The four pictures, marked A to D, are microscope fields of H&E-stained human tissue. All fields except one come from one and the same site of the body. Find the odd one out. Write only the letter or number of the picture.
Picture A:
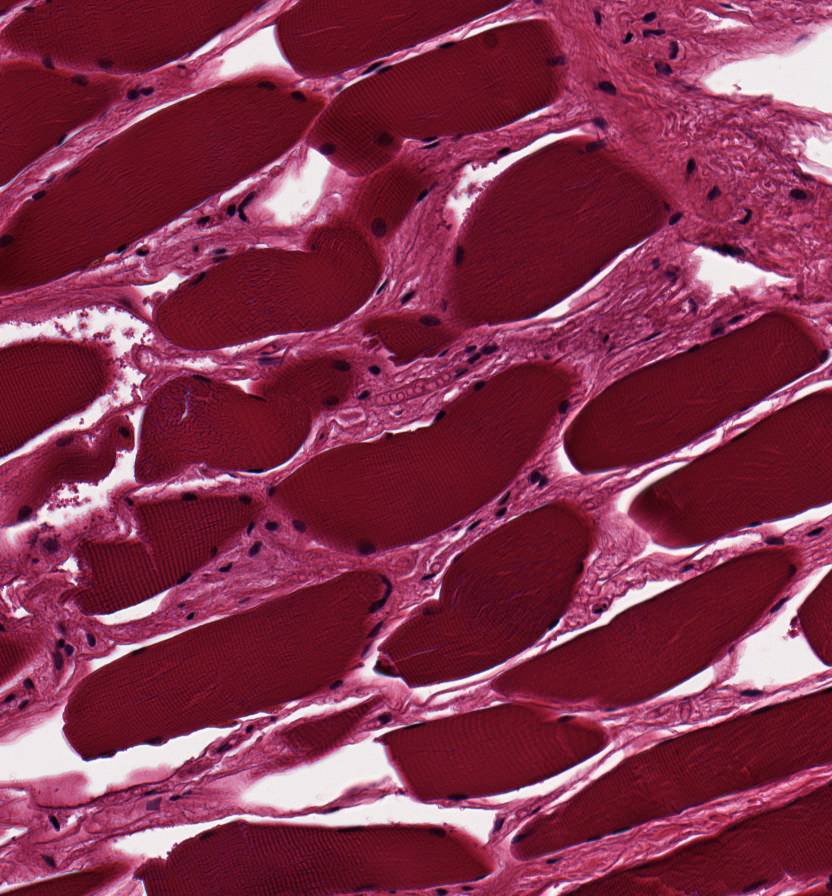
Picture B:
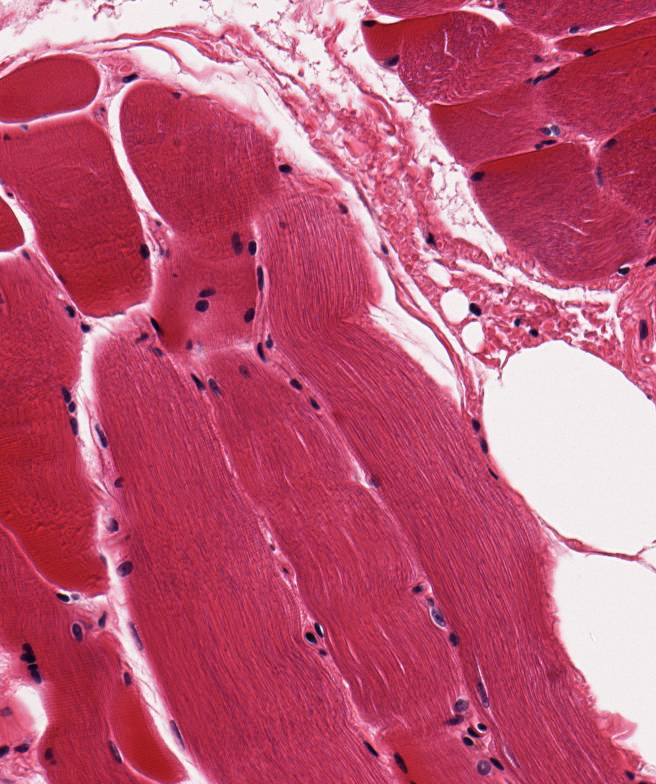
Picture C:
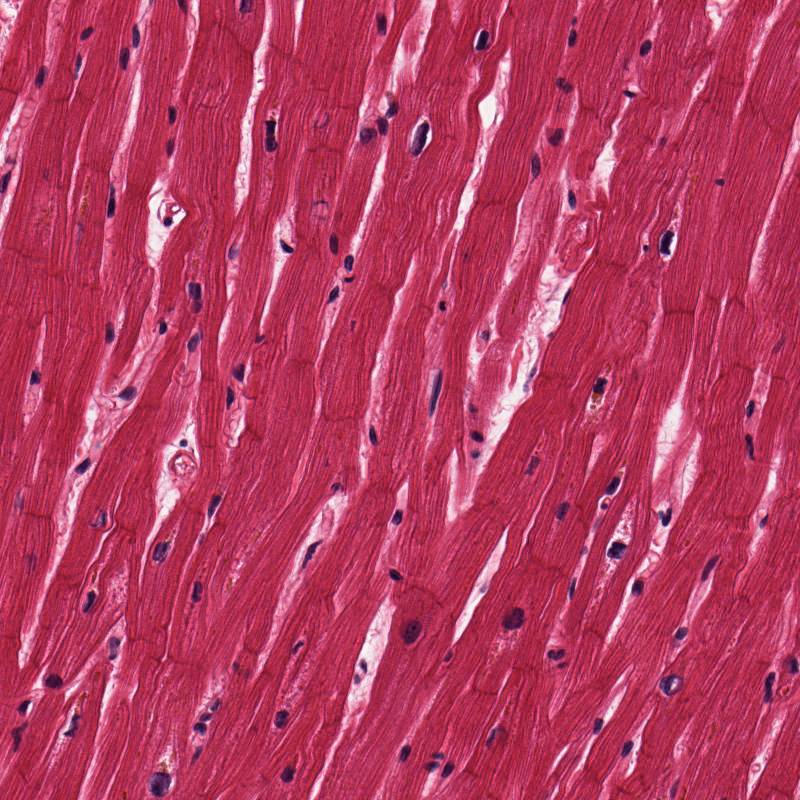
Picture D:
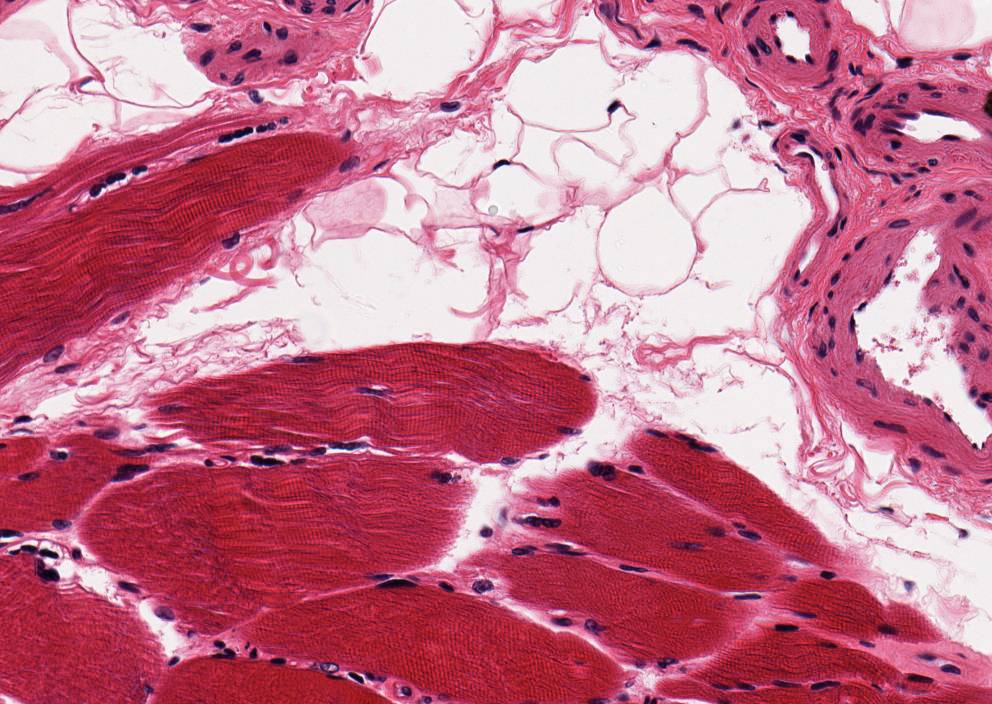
C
